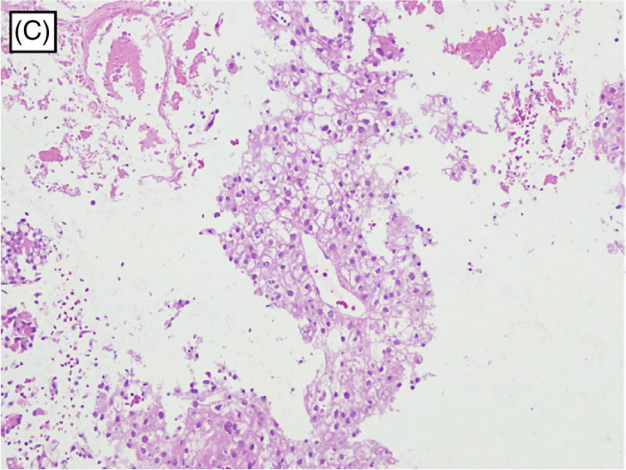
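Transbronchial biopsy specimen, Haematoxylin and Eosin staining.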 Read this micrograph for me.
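This low-power view shows fragments of a tumour made of atypical polygonal cells arranged in closely packed sheets and cords, giving a cobblestone-like cluster. The cells have pale pink, vacuolated cytoplasm and small dark nuclei, and thin-walled blood vessels containing red cells run between the cell groups. Loose pink debris and scattered blood lie in the surrounding spaces.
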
